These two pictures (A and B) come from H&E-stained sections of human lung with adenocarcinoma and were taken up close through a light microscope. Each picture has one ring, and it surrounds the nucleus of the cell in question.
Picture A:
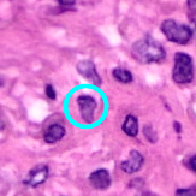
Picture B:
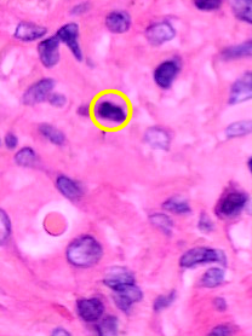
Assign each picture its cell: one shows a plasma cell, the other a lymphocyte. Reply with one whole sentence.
In picture A the cell is a lymphocyte; in picture B, a plasma cell.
